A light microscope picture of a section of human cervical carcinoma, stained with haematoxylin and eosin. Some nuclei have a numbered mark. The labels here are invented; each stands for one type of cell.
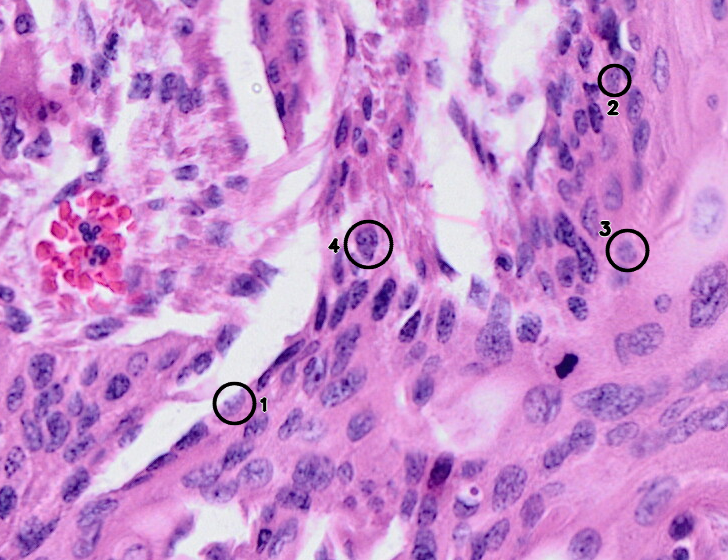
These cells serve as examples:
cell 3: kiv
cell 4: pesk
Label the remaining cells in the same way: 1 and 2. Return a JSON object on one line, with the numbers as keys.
{"1": "kiv", "2": "kiv"}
